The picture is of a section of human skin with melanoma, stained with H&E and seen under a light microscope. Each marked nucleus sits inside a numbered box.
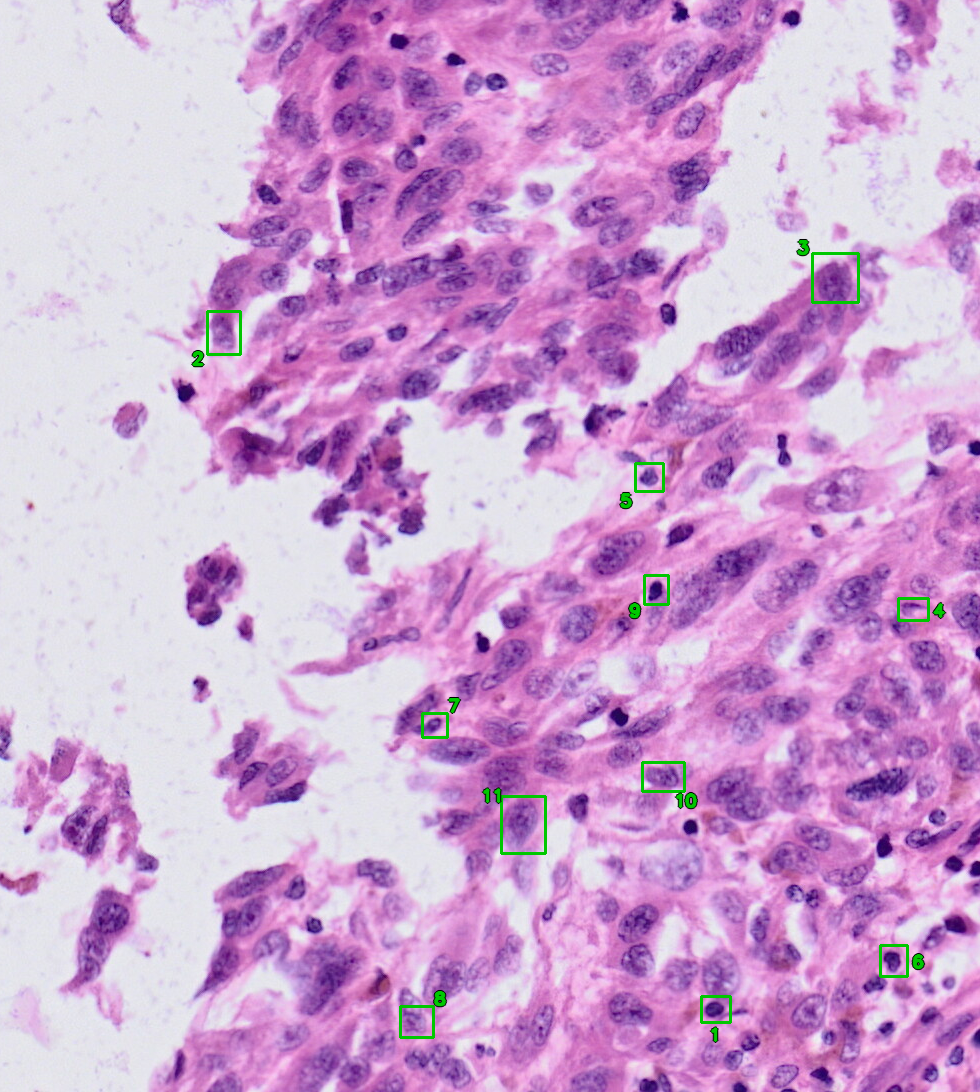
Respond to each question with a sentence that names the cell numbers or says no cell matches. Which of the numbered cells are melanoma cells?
Identified as melanoma cells are the cells numbered 2, 3, 4, 8, 10 and 11.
